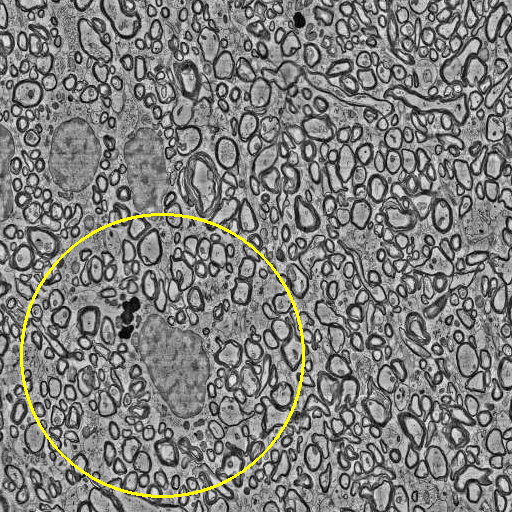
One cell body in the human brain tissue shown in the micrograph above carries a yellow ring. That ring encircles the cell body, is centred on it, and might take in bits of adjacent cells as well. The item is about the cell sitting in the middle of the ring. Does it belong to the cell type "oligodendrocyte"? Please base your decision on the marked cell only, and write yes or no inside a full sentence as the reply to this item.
Yes, the cell at the middle of the ring in the micrograph is of this kind.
